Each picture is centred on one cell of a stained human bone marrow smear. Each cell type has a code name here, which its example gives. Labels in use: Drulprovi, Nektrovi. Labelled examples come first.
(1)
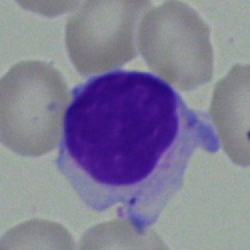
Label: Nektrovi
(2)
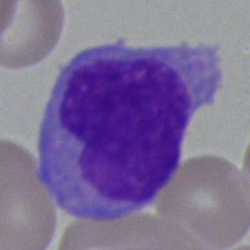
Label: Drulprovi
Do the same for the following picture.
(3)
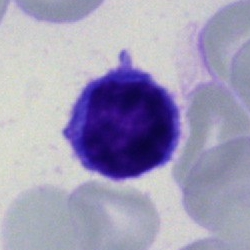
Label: Nektrovi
